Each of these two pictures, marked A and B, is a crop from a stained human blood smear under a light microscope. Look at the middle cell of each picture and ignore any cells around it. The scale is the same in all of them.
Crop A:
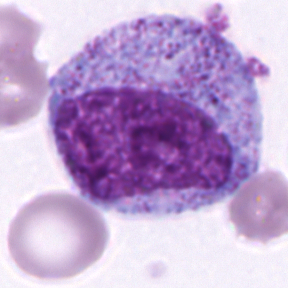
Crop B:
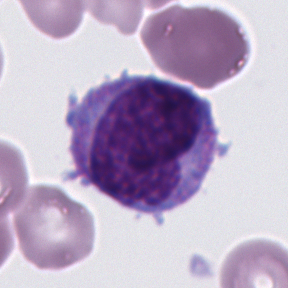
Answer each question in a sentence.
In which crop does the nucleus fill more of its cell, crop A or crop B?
The nucleus fills more of the cell in crop B than in crop A.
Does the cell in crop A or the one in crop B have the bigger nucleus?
It is the nucleus in crop A, about 1.5 times as large in area as the one in crop B.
